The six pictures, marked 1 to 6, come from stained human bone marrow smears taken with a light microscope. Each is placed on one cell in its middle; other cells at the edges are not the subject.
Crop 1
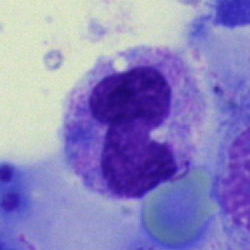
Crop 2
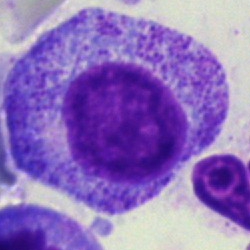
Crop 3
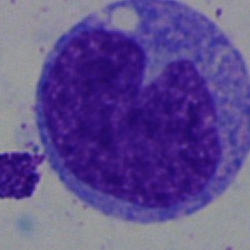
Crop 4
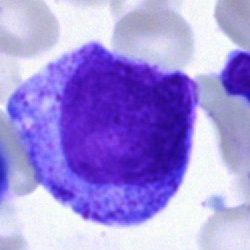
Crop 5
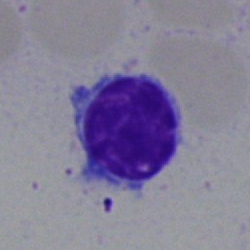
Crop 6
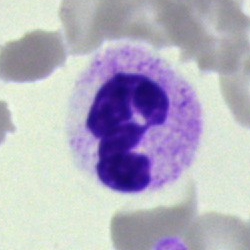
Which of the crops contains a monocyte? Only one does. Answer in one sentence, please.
Only in crop 3 is a monocyte shown.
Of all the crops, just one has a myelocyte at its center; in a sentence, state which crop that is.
Of the crops given, a myelocyte is found in crop 2.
